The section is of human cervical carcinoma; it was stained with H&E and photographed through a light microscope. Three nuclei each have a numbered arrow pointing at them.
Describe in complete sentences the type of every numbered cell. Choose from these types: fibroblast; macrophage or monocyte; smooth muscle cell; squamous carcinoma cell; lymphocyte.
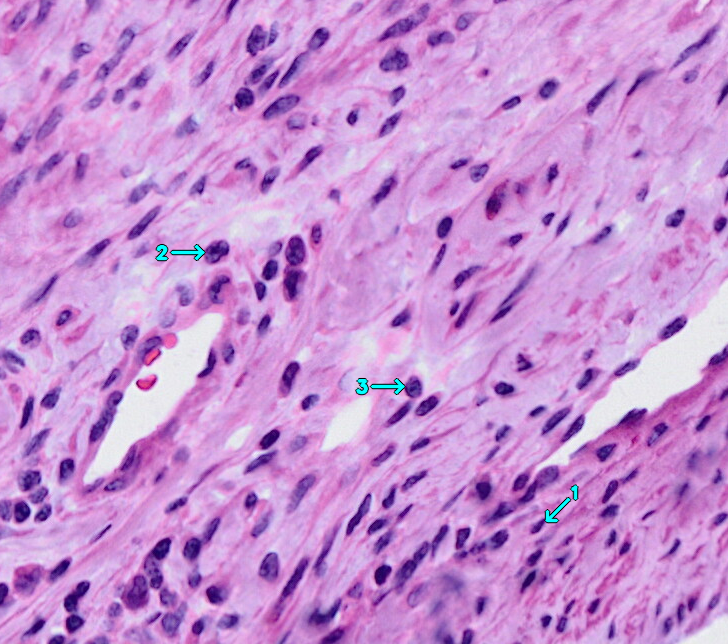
Cell 1 is a fibroblast. Cells 2 and 3 are lymphocytes.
